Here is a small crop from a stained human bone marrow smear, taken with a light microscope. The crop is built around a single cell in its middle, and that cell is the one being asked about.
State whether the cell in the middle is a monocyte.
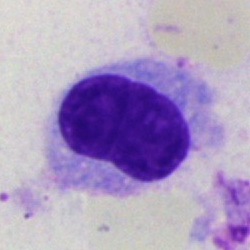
no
